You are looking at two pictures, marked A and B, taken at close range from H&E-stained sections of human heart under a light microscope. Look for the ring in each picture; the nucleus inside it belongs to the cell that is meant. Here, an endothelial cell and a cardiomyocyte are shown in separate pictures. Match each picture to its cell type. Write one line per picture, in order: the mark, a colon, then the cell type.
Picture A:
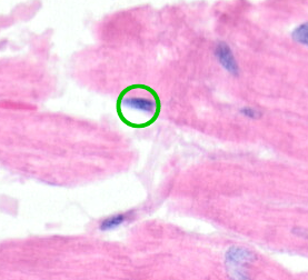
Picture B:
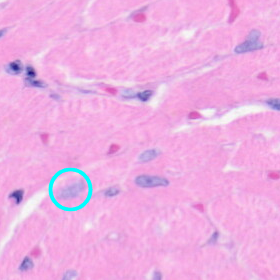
A: endothelial cell
B: cardiomyocyte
